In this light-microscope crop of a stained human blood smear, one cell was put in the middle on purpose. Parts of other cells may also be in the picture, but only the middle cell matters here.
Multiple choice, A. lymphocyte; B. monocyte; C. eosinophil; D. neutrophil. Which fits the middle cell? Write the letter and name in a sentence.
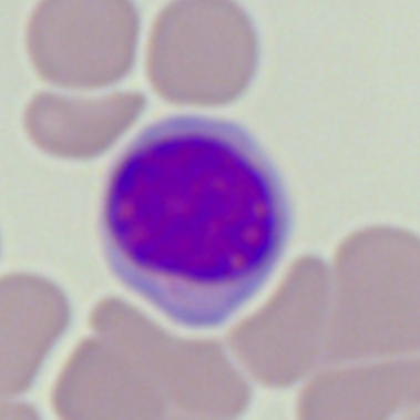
Of the choices given, option A is right, as the central cell is a lymphocyte.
